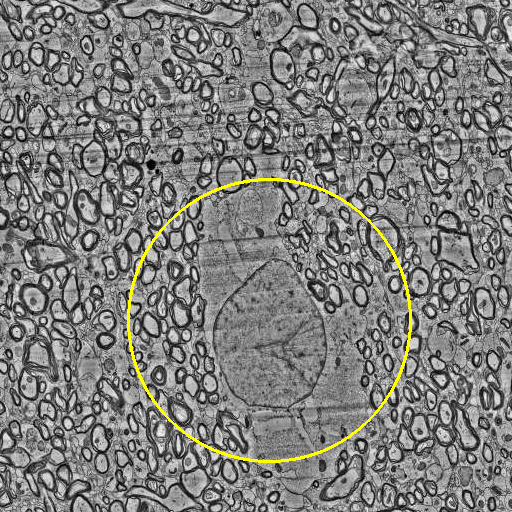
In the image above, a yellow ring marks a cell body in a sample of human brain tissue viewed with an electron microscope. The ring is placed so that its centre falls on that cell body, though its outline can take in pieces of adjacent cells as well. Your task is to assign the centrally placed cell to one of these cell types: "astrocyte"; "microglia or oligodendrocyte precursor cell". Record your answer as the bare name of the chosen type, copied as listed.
astrocyte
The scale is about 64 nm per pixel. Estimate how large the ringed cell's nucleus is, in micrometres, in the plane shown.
The nucleus measures about 10 by 7 micrometres in this plane.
